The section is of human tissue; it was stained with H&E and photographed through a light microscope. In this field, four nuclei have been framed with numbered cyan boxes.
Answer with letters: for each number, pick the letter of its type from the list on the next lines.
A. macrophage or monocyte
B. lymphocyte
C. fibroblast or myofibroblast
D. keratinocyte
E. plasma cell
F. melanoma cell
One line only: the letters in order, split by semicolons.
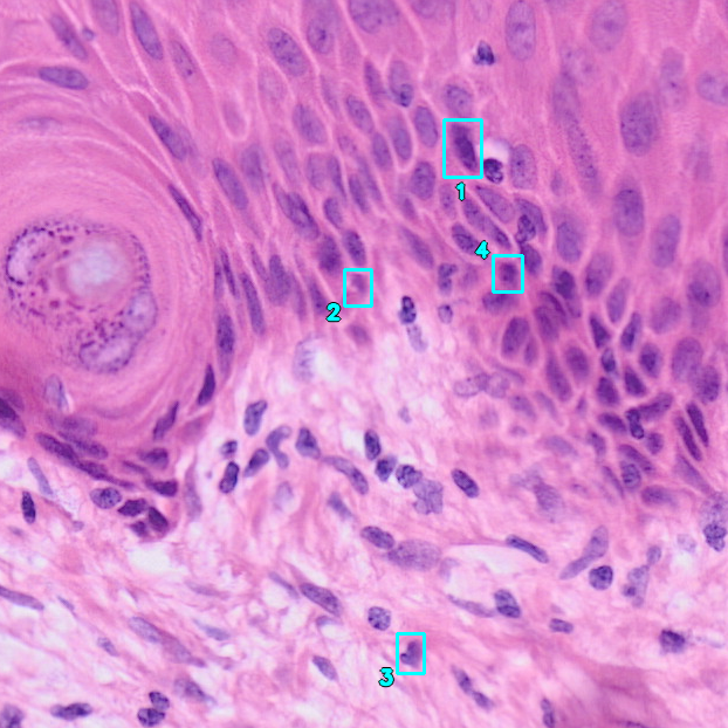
D; D; B; D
